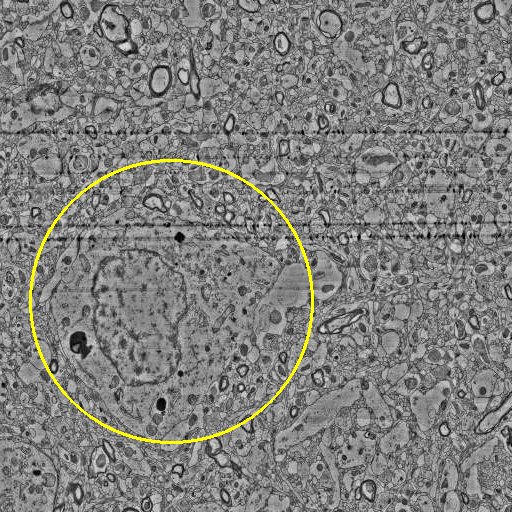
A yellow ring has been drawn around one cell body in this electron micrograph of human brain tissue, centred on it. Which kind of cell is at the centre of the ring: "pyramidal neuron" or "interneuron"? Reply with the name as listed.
pyramidal neuron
